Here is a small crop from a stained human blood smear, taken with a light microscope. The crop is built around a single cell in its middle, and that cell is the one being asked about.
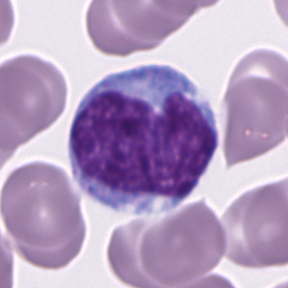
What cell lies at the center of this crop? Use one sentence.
On this slide crop, the central cell is a monocyte.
